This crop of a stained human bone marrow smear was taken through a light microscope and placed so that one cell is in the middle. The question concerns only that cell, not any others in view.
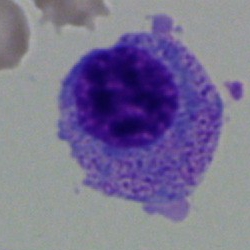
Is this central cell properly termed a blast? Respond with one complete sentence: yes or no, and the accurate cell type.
No, the centred cell is a myelocyte, and it is not a blast.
